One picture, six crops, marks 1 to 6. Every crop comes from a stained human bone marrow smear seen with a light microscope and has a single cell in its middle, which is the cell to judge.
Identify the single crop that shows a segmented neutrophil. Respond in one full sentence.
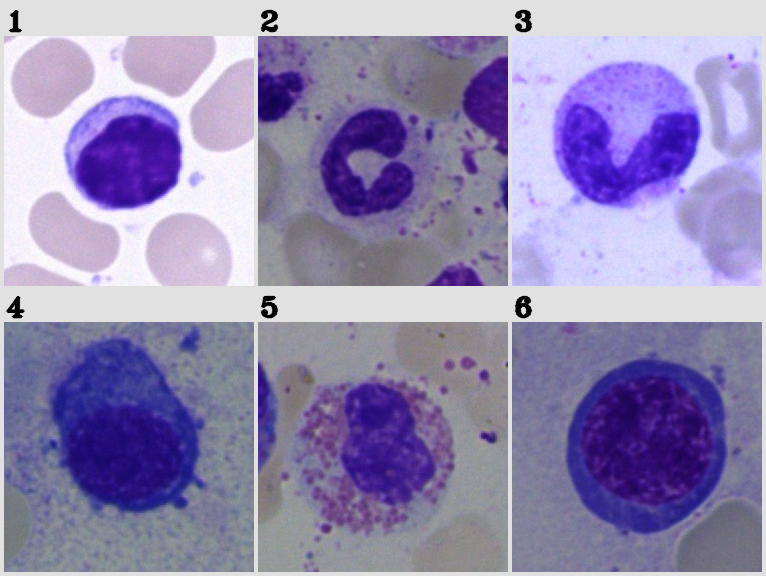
Only in crop 2 is a segmented neutrophil shown.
